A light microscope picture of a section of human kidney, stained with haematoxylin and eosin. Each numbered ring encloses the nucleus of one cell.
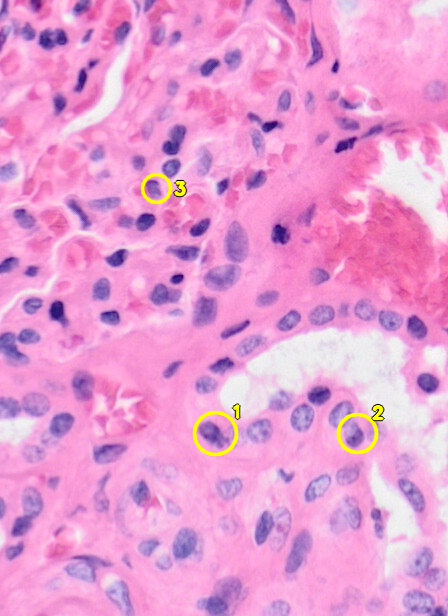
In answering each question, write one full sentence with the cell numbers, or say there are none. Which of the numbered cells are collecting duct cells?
The numbers 1 and 2 in this section indicate collecting duct cells.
